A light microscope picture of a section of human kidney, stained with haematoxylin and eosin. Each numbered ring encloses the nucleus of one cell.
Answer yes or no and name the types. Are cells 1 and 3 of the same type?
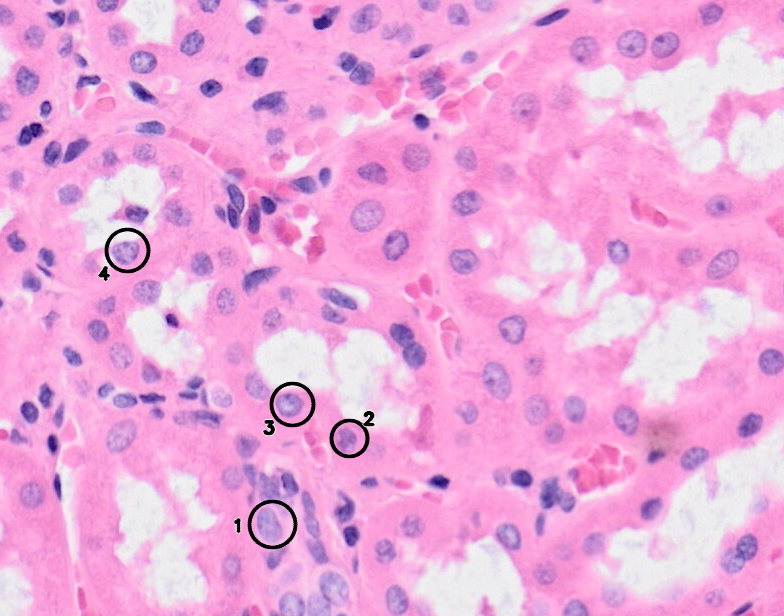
No, cell 1 is recognized as a collecting duct cell, and cell 3 as a loop of Henle or distal tubule cell.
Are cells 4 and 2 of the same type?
Yes, cells 4 and 2 are both termed loop of Henle or distal tubule cells.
